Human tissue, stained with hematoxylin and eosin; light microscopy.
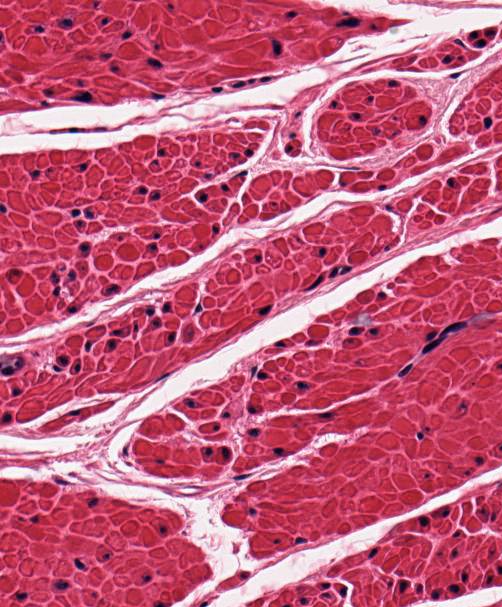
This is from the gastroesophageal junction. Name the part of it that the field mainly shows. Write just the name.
smooth muscle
